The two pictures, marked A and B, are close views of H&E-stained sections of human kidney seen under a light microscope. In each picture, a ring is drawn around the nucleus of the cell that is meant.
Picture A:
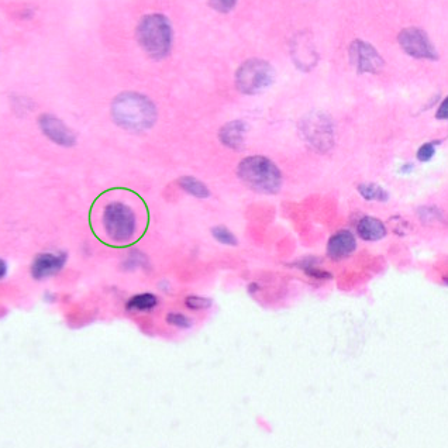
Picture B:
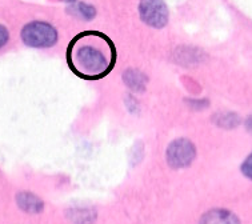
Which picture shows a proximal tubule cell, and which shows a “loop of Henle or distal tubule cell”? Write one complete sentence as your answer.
It is picture A that shows a proximal tubule cell, and picture B that shows a “loop of Henle or distal tubule cell”.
